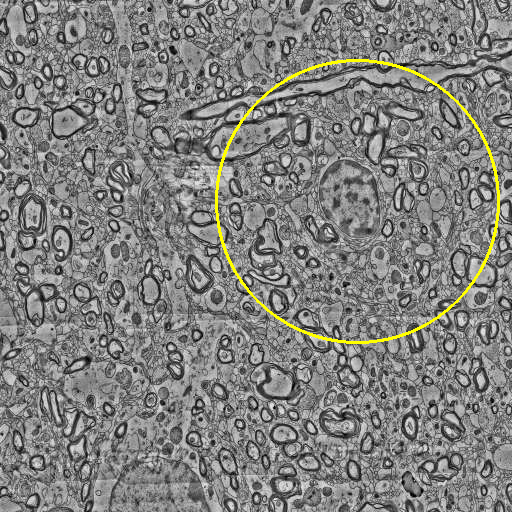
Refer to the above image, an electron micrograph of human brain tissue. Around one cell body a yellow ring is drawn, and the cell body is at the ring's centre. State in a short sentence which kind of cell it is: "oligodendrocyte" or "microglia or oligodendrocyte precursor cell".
The centre of the ring falls on a microglial cell or oligodendrocyte precursor cell.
